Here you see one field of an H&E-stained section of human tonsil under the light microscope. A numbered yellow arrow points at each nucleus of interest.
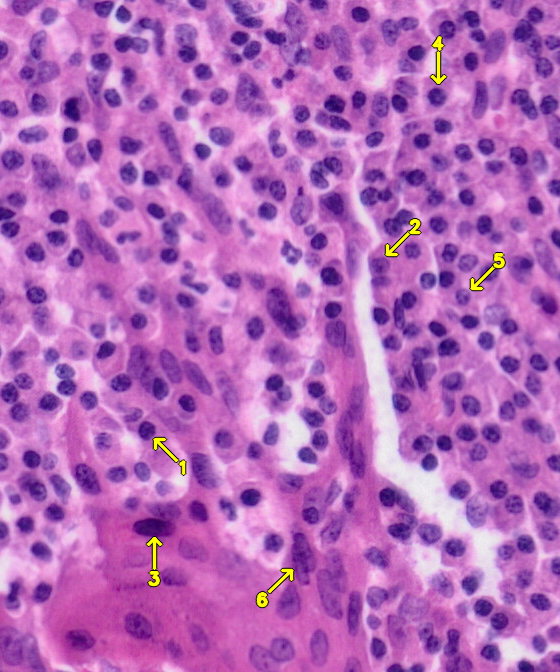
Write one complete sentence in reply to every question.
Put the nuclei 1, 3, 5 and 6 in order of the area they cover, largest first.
Going from the biggest nucleus down to the smallest gives 6, 3, 1, 5.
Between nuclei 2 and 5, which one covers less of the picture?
Nucleus 5 covers less area, with nucleus 2 about 1.5 times as large.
